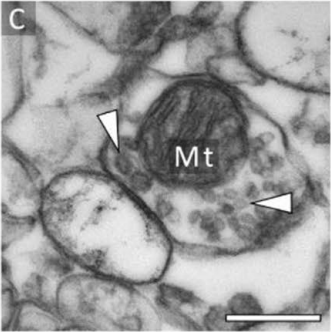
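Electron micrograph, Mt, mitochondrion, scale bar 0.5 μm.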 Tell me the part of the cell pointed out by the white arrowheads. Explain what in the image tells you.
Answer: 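The arrowheads point to clusters of small round vesicles within a membrane-bounded profile. The profile also holds an organelle with cristae. The answer: synaptic vesicle.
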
